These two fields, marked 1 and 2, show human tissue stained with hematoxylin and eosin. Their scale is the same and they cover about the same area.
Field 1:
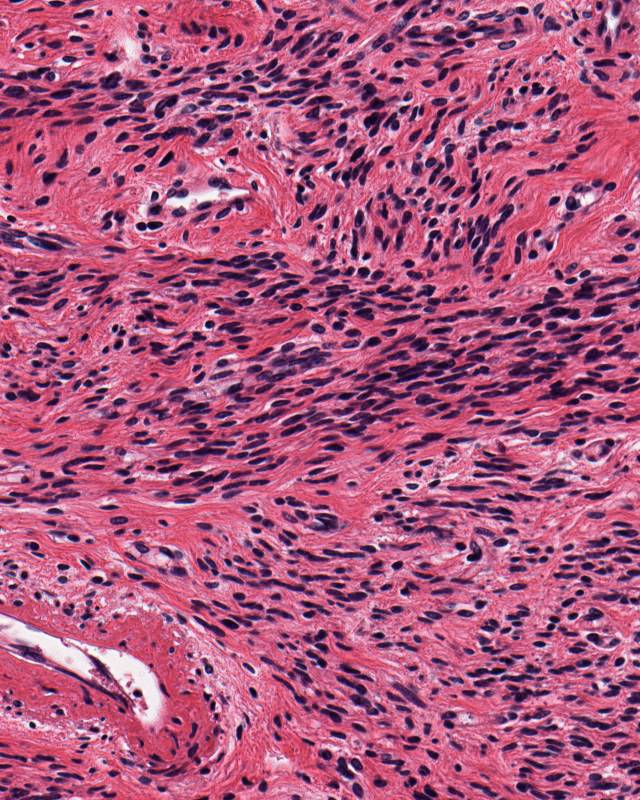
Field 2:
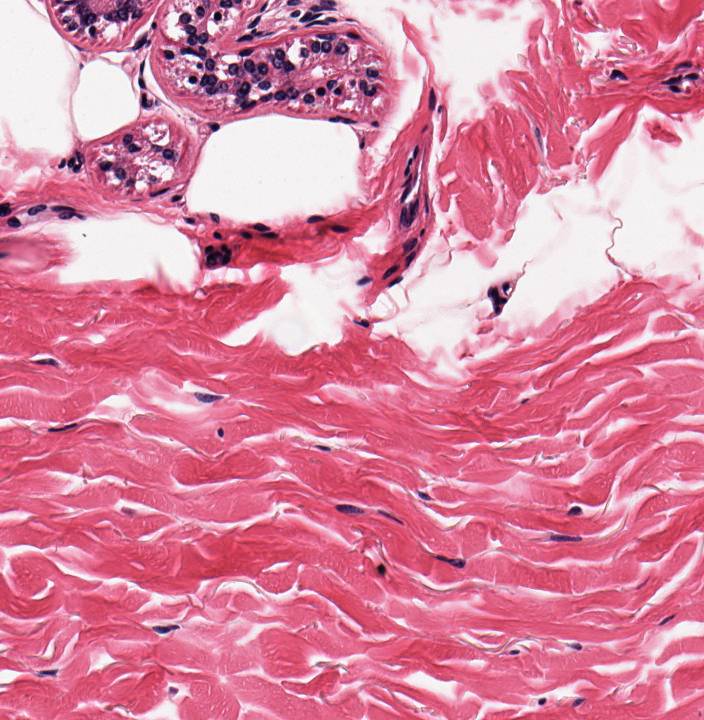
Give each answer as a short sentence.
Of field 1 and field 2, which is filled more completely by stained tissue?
Field 1 has less white space.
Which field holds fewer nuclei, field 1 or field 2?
It is field 2 that has fewer nuclei in it.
